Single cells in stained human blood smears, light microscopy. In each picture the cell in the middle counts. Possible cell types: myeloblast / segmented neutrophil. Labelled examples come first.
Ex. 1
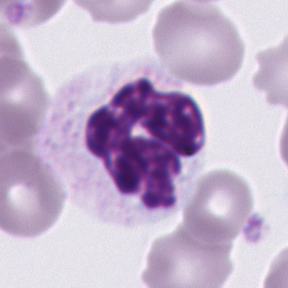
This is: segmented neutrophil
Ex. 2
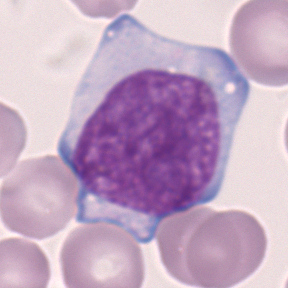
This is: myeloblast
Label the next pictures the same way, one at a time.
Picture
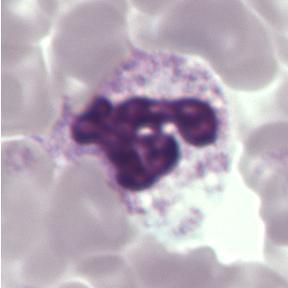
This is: segmented neutrophil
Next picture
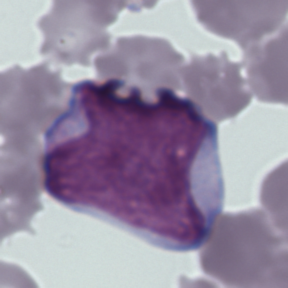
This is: myeloblast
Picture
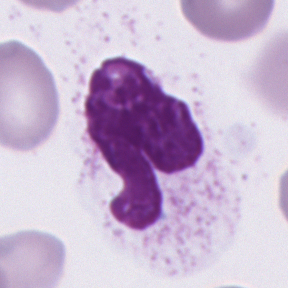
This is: segmented neutrophil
